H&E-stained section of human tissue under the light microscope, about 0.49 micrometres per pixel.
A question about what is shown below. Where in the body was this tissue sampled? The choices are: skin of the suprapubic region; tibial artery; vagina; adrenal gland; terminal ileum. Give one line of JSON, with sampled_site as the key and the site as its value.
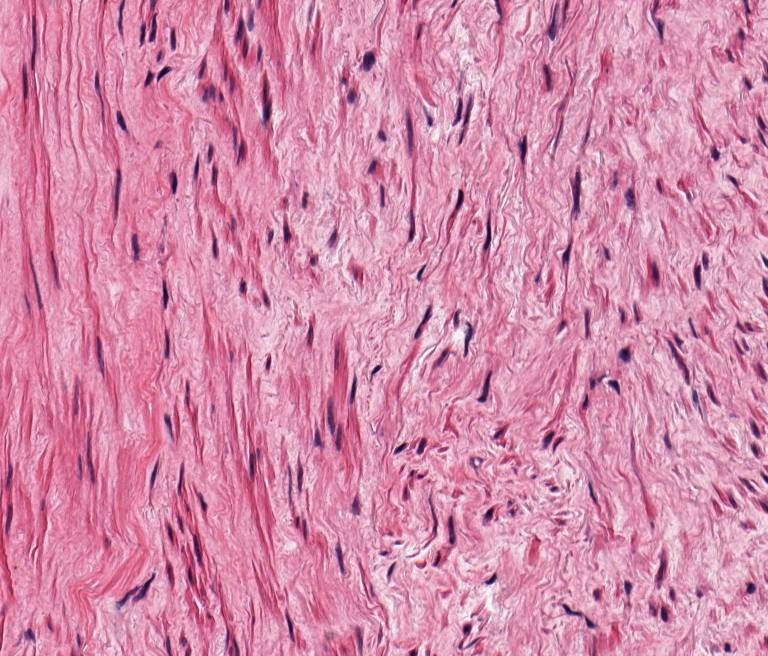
{"sampled_site": "tibial artery"}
